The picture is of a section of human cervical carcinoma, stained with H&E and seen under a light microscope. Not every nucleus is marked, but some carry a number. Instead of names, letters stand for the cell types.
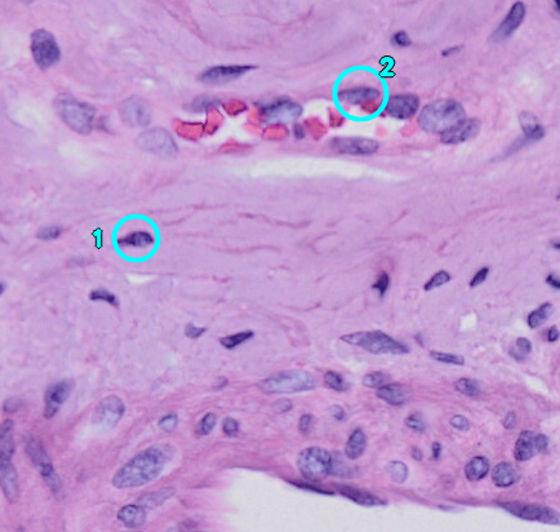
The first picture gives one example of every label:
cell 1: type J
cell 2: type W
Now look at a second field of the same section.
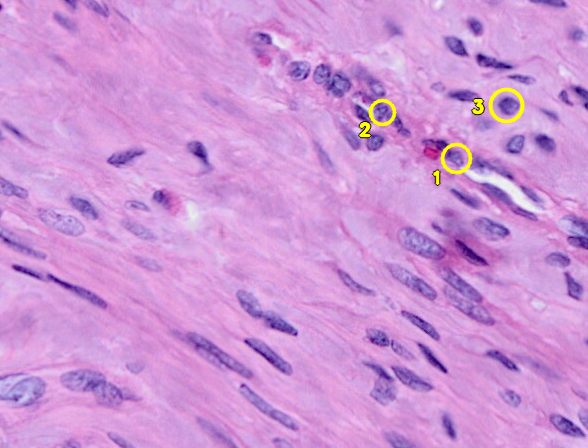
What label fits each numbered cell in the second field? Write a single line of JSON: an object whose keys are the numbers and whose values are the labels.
{"1": "type W", "2": "type W", "3": "type J"}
